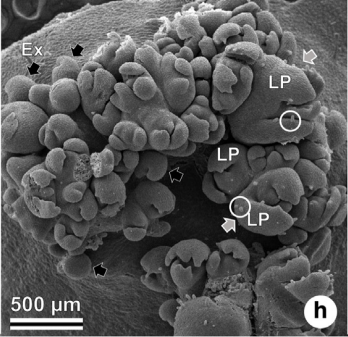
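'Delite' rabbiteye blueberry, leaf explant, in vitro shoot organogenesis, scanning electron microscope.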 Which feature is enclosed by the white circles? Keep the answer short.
Trichomes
